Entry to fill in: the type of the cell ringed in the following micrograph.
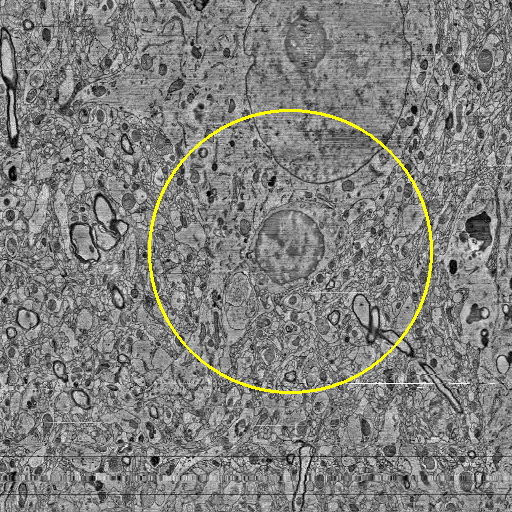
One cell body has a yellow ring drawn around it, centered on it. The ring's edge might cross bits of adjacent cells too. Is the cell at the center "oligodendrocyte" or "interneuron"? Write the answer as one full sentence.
This entry names an oligodendrocyte as the cell whose body lies at the ring's center.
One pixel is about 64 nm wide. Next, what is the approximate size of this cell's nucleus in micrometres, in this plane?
In this plane, the nucleus measures approximately 5 micrometres across.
